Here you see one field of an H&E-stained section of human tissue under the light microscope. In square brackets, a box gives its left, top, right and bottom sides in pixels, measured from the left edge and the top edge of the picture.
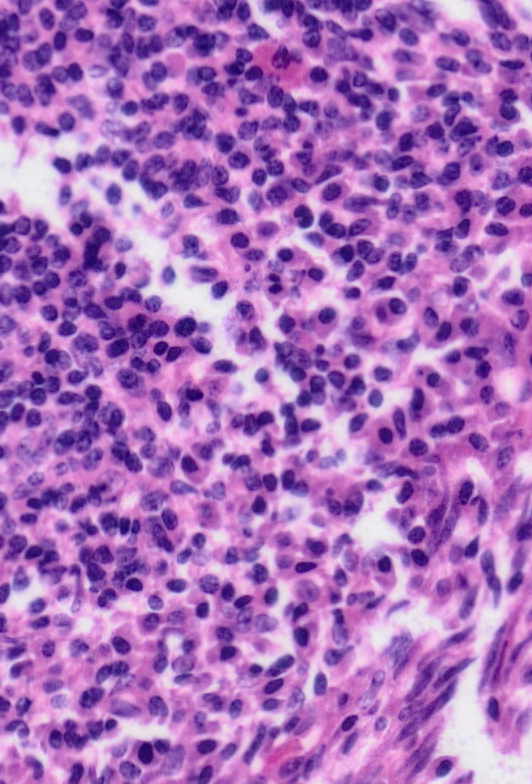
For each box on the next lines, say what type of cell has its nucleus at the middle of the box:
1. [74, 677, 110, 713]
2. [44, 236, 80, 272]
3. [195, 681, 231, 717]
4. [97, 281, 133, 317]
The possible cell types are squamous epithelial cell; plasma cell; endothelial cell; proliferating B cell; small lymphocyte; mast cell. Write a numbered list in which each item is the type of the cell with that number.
1. plasma cell
2. small lymphocyte
3. plasma cell
4. small lymphocyte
